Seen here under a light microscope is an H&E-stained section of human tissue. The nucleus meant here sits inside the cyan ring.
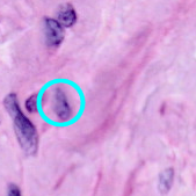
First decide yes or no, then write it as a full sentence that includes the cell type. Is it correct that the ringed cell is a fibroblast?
Yes, it is accurate to say that the ringed cell is a fibroblast.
